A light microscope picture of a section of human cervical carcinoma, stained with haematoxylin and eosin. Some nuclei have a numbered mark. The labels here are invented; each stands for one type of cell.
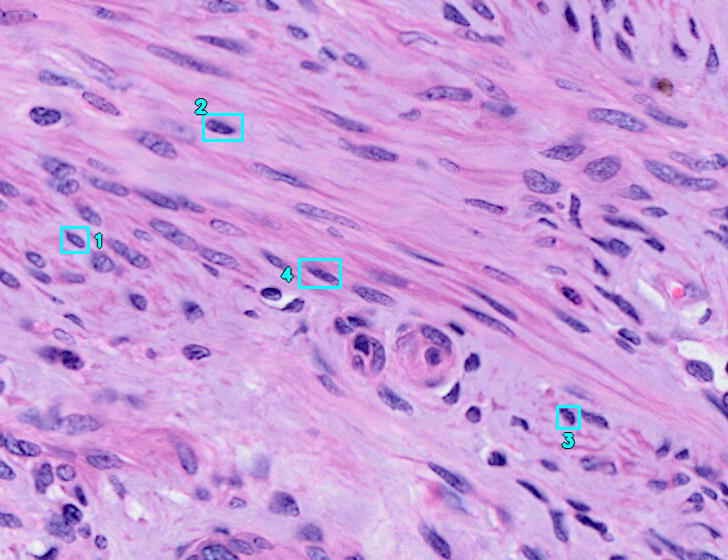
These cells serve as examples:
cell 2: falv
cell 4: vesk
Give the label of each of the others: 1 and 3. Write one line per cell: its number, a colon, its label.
1: vesk
3: vesk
